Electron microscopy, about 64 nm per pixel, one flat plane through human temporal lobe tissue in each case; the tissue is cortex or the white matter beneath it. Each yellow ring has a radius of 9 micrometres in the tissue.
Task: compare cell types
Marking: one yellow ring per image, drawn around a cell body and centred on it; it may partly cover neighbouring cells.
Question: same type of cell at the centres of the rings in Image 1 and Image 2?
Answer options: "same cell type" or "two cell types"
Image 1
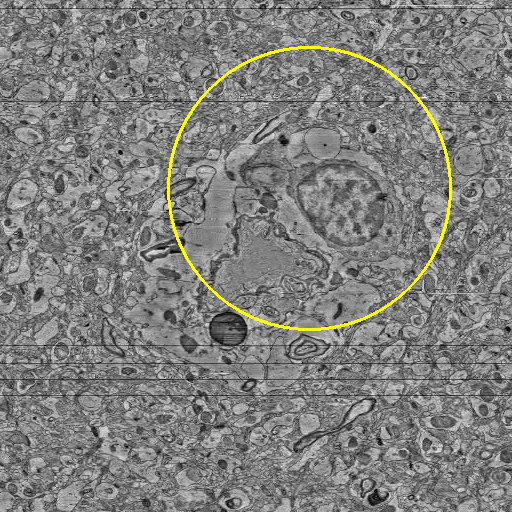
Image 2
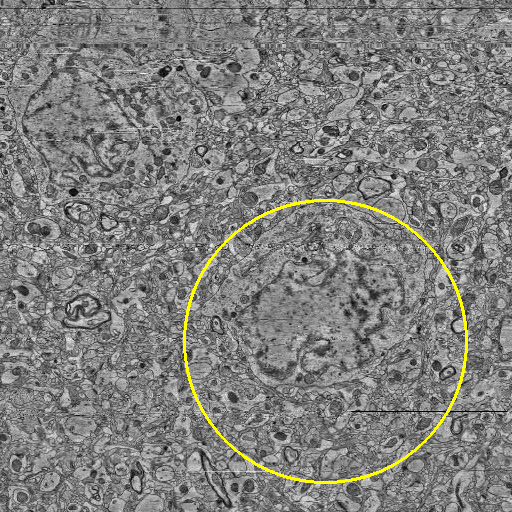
two cell types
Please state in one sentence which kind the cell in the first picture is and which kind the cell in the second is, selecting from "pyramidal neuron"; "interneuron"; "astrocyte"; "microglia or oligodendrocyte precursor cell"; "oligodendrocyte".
The first ringed cell is an oligodendrocyte, the second ringed cell an interneuron.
